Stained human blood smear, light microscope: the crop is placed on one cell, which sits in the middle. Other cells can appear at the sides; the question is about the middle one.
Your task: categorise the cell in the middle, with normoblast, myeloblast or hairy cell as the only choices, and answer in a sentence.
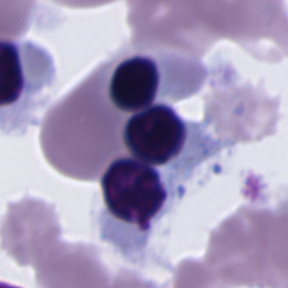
In the crop, the cell of interest at the centre is a normoblast.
